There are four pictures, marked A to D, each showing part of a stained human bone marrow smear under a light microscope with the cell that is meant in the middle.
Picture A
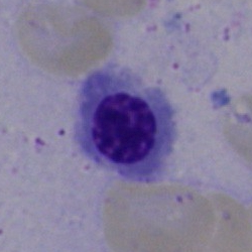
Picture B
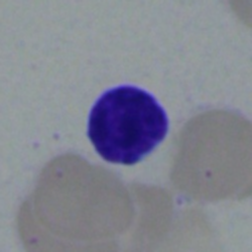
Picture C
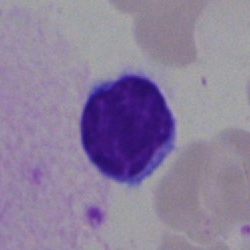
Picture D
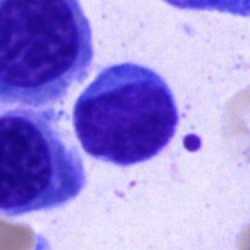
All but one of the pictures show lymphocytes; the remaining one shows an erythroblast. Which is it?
A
